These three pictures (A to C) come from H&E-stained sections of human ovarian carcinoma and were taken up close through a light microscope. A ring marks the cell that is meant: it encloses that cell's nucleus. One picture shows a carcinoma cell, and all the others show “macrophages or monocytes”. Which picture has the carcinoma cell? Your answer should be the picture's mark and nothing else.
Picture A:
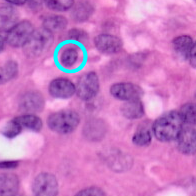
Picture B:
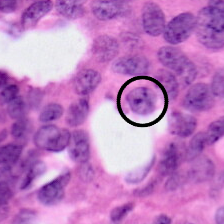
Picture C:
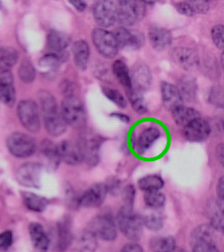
C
